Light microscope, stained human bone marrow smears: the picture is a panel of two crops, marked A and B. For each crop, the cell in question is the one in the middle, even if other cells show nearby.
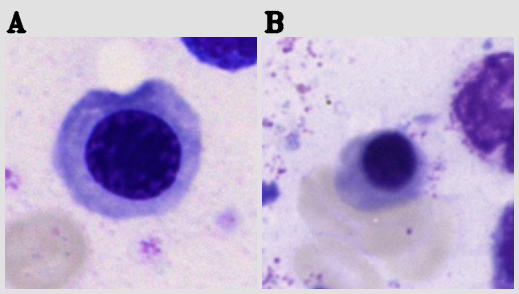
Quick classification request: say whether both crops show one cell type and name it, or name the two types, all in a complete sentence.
Yes, both crops show erythroblasts, and that holds for each one.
